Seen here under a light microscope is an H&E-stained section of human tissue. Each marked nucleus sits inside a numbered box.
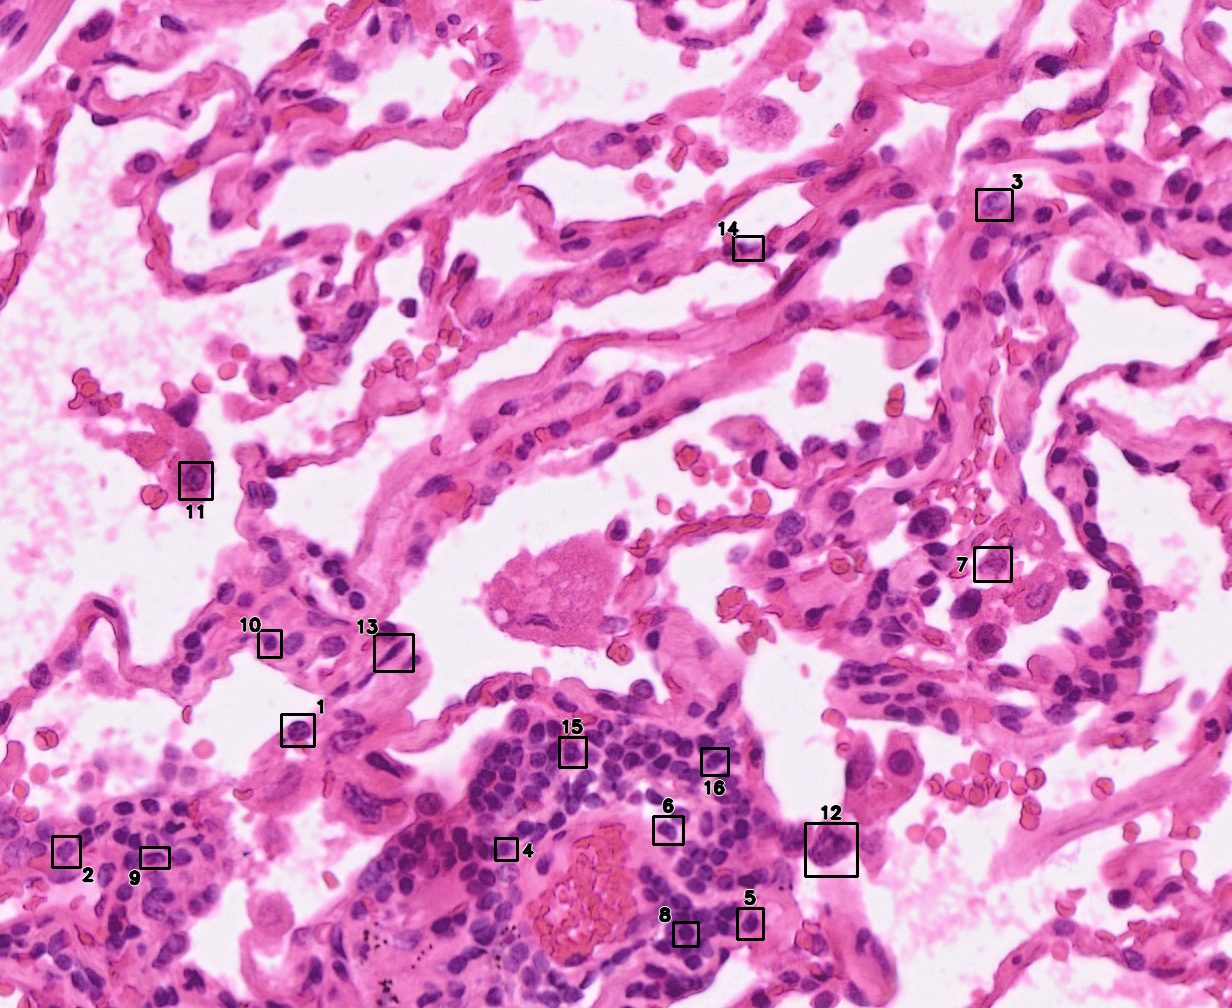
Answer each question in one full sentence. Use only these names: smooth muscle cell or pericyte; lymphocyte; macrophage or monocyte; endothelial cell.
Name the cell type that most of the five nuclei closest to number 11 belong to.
Of the five nuclei nearest to number 11, most belong to endothelial cells.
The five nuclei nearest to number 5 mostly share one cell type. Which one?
Lymphocytes make up most of the five nuclei closest to number 5.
